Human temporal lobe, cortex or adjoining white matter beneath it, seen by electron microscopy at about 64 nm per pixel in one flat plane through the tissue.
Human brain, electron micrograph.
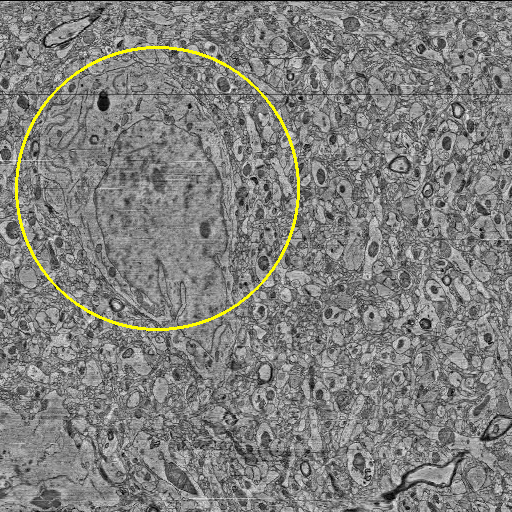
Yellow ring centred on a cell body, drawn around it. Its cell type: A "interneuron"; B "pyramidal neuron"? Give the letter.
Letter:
A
